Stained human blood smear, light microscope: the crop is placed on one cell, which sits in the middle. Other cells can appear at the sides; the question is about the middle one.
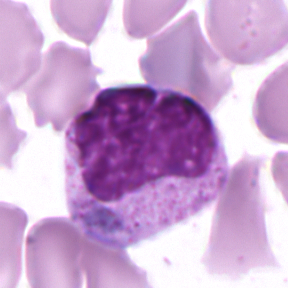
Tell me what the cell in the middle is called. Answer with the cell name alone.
band neutrophil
